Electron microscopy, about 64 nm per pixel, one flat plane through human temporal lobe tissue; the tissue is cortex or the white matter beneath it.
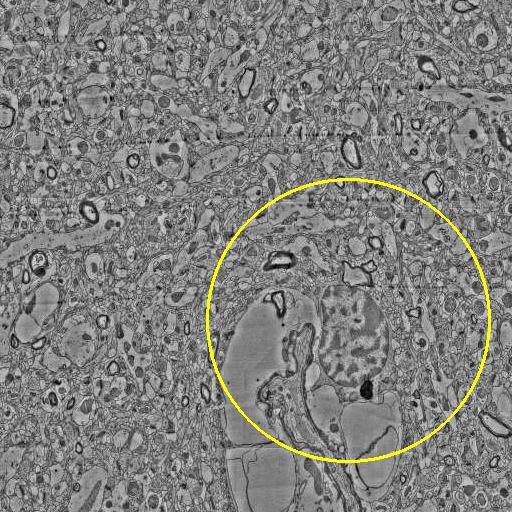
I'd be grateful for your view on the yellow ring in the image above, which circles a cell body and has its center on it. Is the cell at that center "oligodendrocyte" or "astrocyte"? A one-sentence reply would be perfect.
The cell at the center of the yellow ring is an oligodendrocyte.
